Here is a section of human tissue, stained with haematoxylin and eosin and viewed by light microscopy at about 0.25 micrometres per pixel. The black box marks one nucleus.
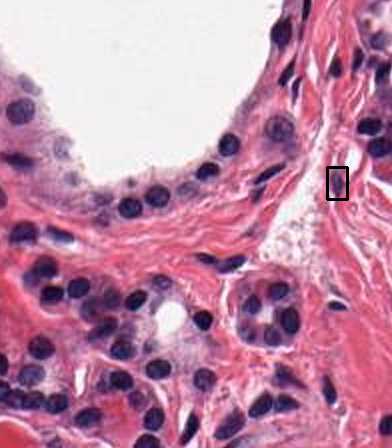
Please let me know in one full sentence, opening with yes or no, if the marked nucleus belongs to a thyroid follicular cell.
No, the marked nucleus does not form part of a thyroid follicular cell, being part of a supporting cell.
